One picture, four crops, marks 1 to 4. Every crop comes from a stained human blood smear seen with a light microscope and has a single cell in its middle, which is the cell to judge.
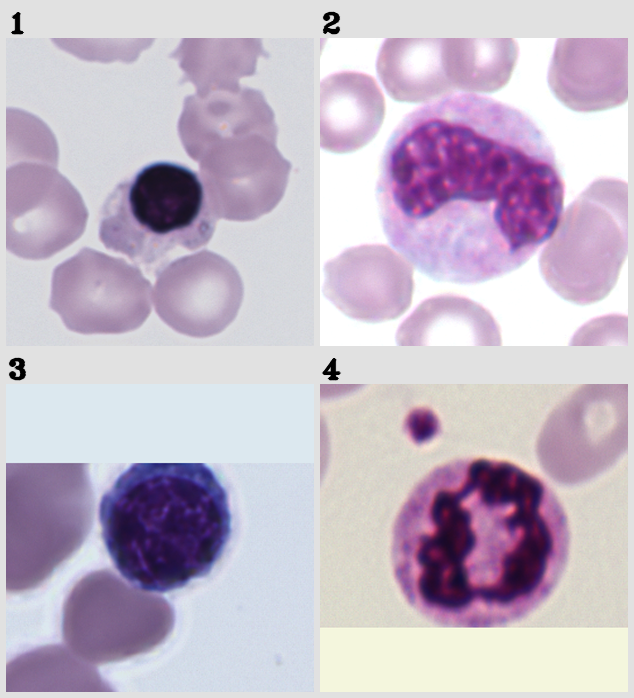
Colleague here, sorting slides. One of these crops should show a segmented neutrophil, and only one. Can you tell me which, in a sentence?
Of the labeled crops, the one with a segmented neutrophil is crop 4.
